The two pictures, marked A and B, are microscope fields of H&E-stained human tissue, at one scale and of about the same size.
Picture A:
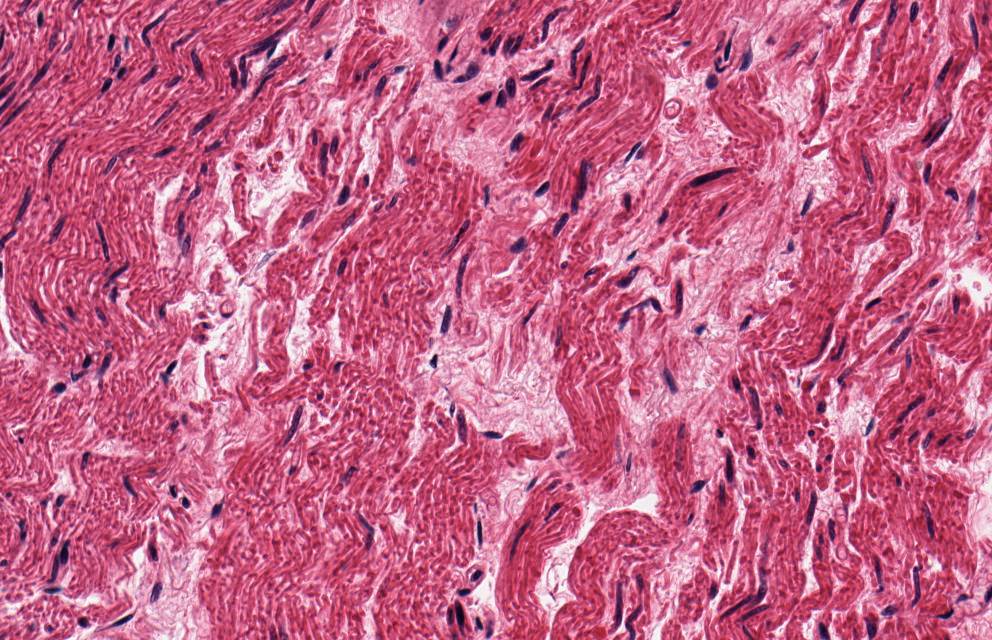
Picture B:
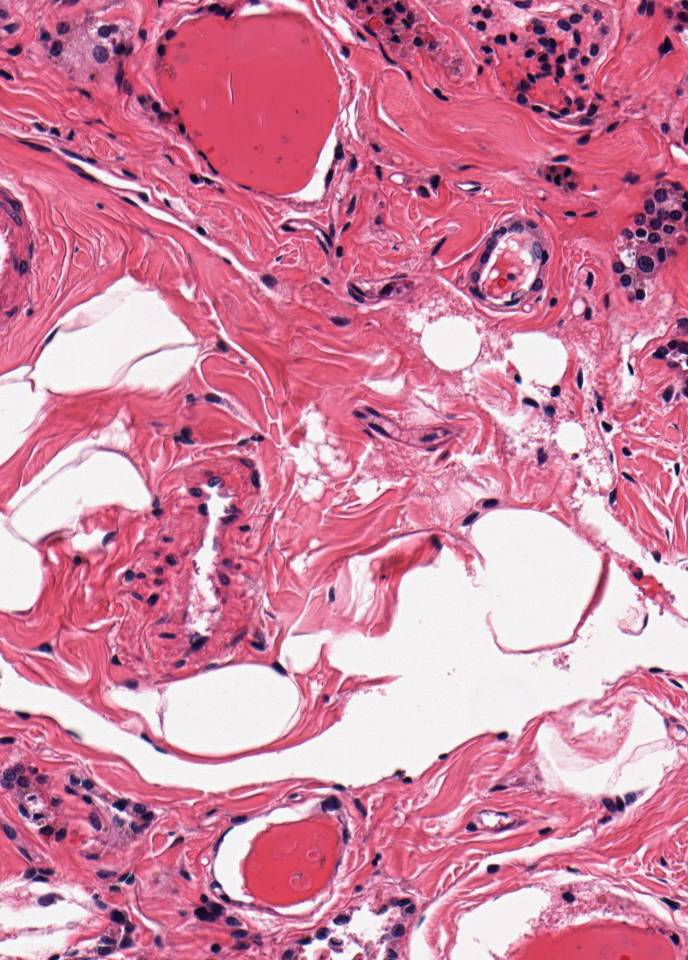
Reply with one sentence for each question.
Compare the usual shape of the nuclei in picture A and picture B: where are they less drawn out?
The nuclei are rounder in picture B.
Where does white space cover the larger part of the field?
More of picture B is empty and white.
